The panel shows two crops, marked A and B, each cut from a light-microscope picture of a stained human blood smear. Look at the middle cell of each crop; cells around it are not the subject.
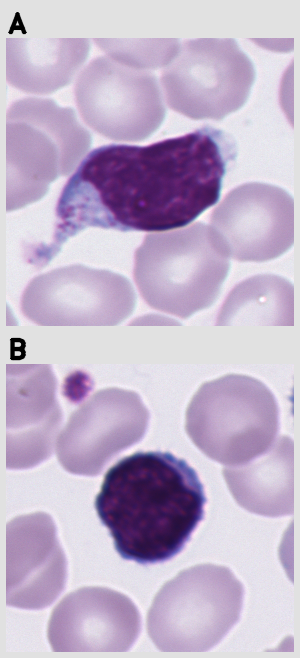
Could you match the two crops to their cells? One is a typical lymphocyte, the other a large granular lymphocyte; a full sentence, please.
The cell at the middle is a large granular lymphocyte in crop A, but a typical lymphocyte in crop B.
